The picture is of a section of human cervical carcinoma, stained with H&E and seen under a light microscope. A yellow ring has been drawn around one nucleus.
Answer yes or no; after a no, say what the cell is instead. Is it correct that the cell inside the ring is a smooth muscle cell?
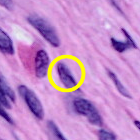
No, it is a fibroblast.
